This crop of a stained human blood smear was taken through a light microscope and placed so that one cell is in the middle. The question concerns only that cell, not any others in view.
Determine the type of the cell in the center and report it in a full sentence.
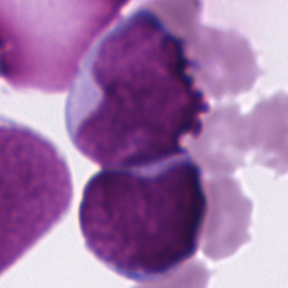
In the crop, the cell of interest at the centre is a myeloblast.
